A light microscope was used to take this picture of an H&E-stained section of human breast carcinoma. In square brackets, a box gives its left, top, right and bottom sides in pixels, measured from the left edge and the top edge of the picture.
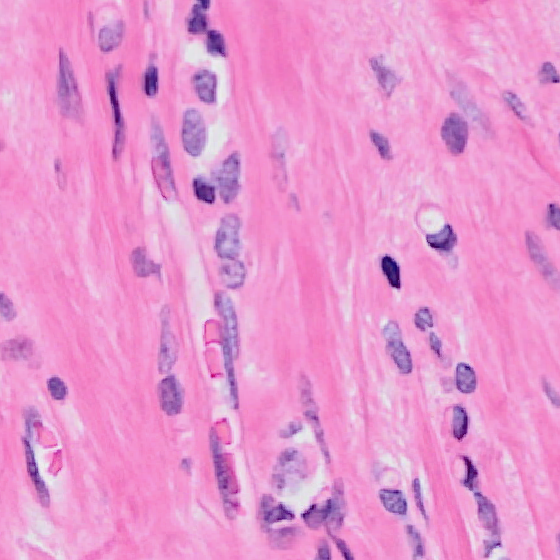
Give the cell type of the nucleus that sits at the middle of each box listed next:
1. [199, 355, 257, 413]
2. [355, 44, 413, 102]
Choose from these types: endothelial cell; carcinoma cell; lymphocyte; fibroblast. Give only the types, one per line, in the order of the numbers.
endothelial cell
fibroblast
